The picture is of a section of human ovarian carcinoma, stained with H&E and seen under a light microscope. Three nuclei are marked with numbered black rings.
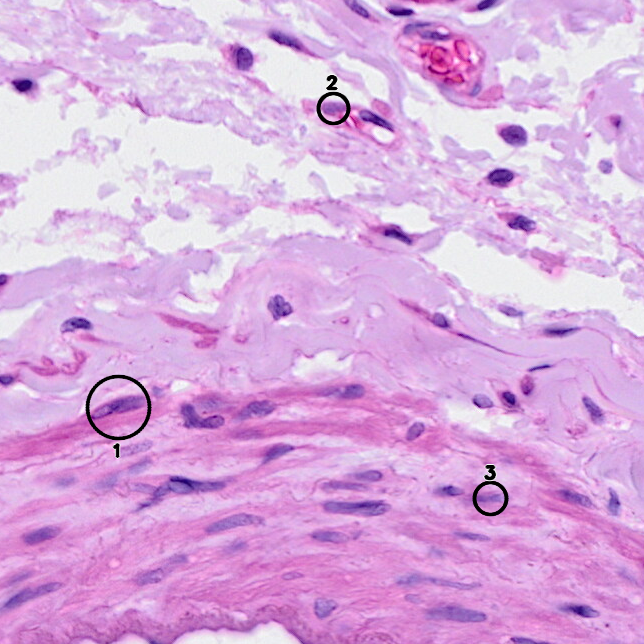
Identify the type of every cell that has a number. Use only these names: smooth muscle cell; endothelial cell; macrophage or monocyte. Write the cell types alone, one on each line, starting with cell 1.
smooth muscle cell
endothelial cell
smooth muscle cell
